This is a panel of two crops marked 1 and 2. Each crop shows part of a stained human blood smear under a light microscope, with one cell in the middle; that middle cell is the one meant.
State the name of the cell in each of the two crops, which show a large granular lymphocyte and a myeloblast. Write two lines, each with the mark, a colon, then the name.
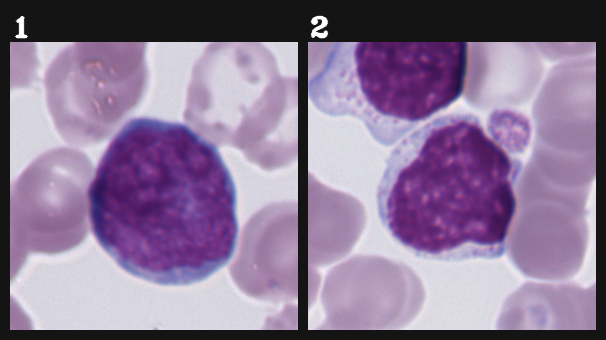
1: myeloblast
2: large granular lymphocyte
